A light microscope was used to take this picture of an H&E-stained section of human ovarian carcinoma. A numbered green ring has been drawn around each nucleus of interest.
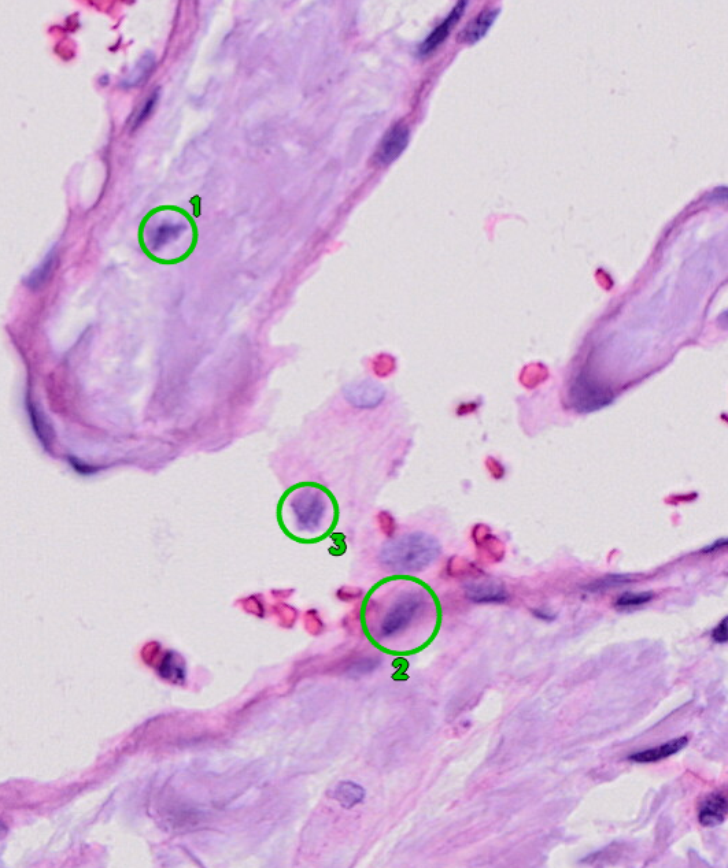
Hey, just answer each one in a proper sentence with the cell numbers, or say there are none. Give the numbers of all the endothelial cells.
The cells tagged with numbers 2 and 3 are endothelial cells.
